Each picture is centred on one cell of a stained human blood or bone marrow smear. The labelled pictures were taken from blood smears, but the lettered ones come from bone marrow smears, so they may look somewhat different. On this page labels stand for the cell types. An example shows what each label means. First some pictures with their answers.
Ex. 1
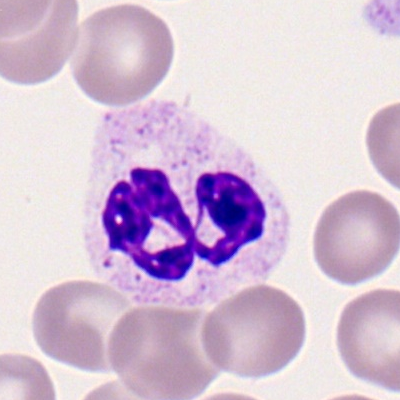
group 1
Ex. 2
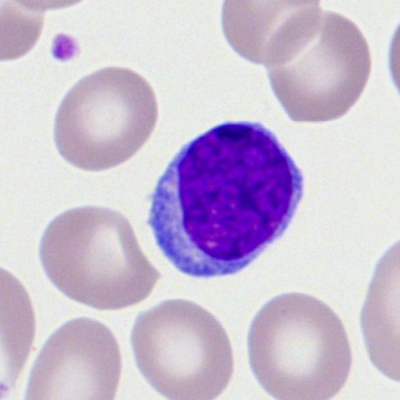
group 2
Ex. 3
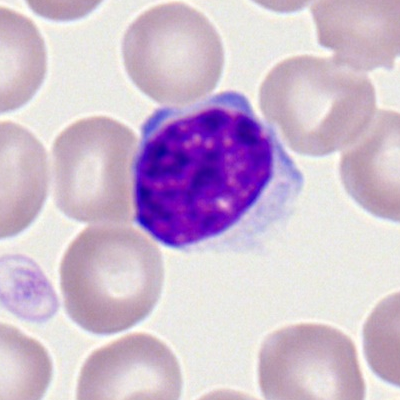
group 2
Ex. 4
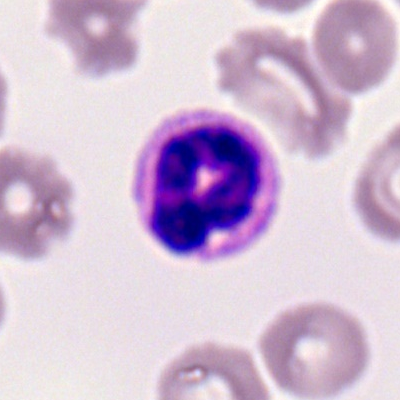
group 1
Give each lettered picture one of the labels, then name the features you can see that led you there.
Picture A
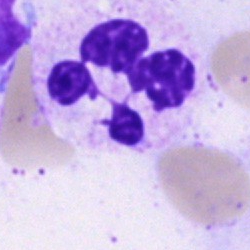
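group 1. Reason: The cytoplasm is abundant and pale pinkish-lilac.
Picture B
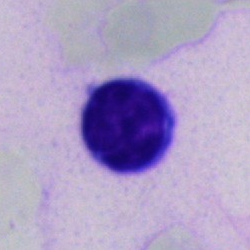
group 2. Reason: Cytoplasm is scant, with at most a very thin rim around the nucleus.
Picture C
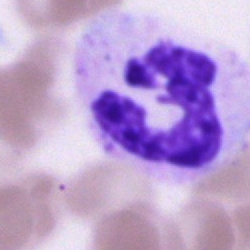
group 1. Reason: The nucleus is a curved band bent into a shape like the numeral 3.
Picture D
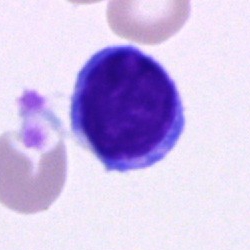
group 2. Reason: The cytoplasm forms only a thin rim around the nucleus.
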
